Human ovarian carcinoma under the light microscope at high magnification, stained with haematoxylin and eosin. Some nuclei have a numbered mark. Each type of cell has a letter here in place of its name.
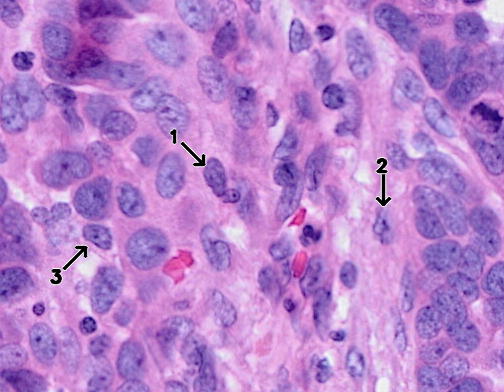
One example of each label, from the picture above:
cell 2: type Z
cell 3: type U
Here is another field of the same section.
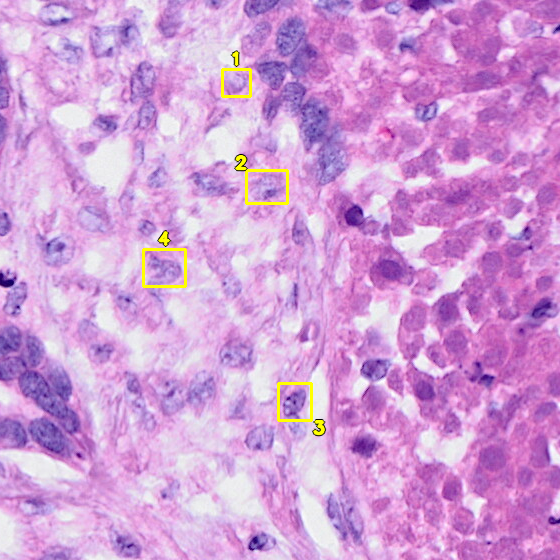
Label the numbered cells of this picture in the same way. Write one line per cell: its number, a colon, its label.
1: type Z
2: type Z
3: type U
4: type Z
